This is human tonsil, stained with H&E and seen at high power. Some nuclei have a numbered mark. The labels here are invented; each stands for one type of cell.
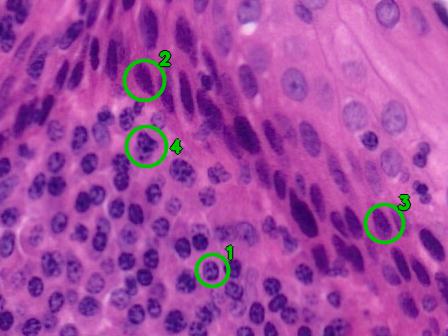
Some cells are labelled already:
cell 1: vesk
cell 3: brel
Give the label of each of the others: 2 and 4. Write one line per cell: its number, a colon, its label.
2: brel
4: vesk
